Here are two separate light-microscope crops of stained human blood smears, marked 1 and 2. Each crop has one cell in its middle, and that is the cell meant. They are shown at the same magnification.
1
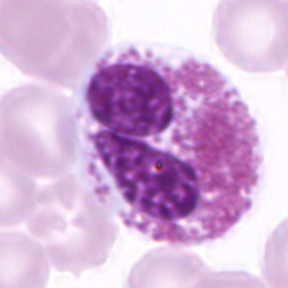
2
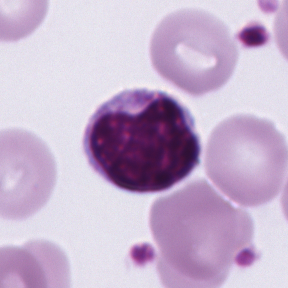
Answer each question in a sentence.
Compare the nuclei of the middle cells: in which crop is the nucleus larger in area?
The nucleus in crop 1 is larger, with about 1.5 times the area of the one in crop 2.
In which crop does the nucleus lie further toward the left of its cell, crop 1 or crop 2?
In crop 1 the nucleus is shifted more toward the left.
